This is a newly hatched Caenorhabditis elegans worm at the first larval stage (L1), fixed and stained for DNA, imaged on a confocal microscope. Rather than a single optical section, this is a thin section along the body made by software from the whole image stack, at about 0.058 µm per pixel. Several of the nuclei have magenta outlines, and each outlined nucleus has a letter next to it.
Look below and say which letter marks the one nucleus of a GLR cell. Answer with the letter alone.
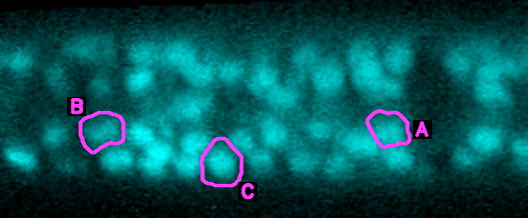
A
